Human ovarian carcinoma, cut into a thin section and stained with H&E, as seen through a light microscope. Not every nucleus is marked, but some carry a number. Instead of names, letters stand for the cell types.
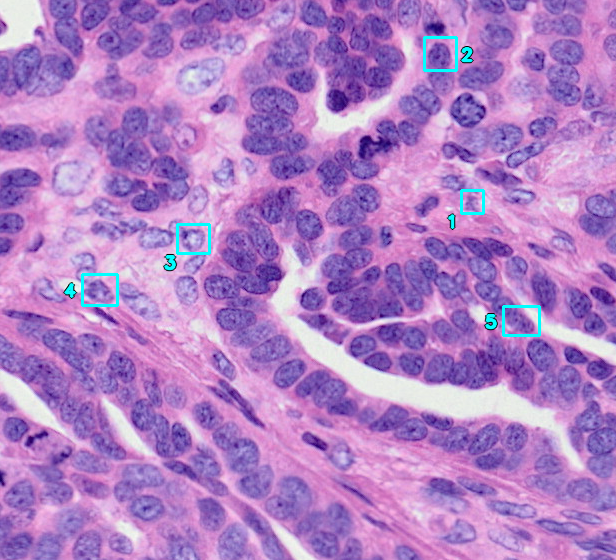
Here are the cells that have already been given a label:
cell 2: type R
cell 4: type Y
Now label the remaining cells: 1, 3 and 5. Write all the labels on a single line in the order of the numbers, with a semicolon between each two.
type Y; type Y; type R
